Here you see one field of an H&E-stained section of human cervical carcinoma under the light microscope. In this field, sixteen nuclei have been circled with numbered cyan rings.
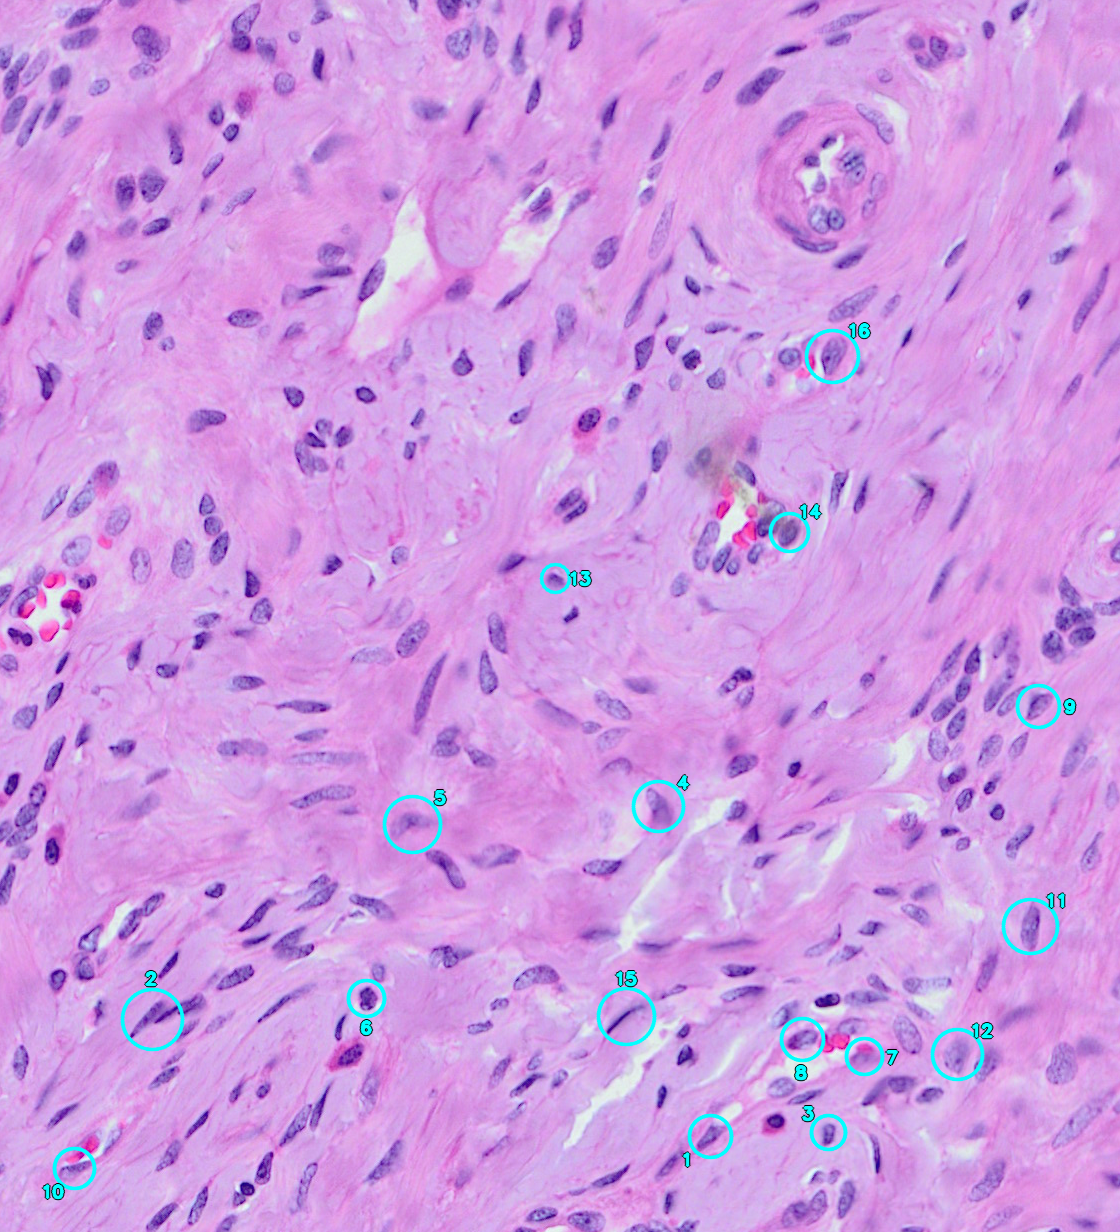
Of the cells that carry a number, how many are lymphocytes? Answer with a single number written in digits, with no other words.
1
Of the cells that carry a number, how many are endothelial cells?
6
